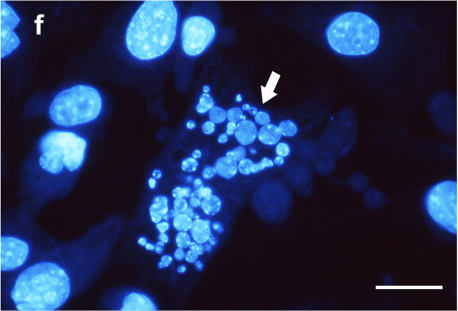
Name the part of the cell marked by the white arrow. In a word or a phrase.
Large micronuclei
